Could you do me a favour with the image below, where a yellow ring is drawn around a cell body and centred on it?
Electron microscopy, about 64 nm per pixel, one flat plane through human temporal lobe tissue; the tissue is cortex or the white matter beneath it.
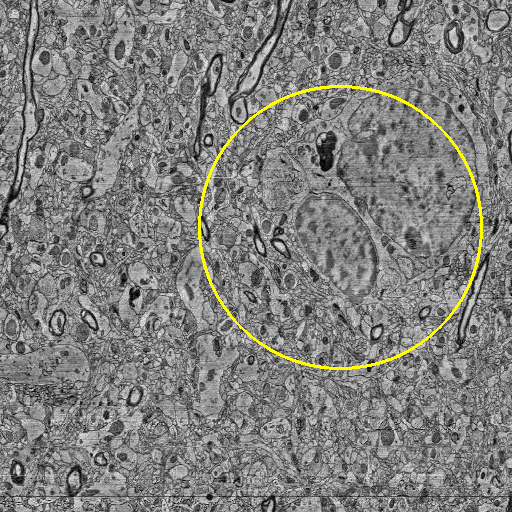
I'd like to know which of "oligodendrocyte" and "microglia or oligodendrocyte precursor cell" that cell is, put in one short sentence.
The cell at the ring's centre is an oligodendrocyte.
